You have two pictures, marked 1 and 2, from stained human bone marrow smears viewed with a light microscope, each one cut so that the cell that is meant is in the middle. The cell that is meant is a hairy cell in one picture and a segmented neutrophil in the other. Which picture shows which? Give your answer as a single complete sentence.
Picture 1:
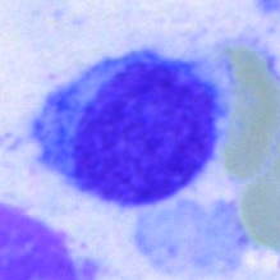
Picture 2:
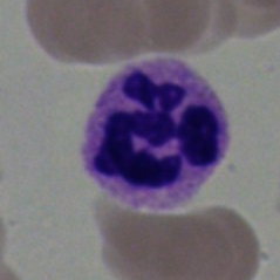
The cell in picture 1 is a hairy cell, and the one in picture 2 is a segmented neutrophil.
